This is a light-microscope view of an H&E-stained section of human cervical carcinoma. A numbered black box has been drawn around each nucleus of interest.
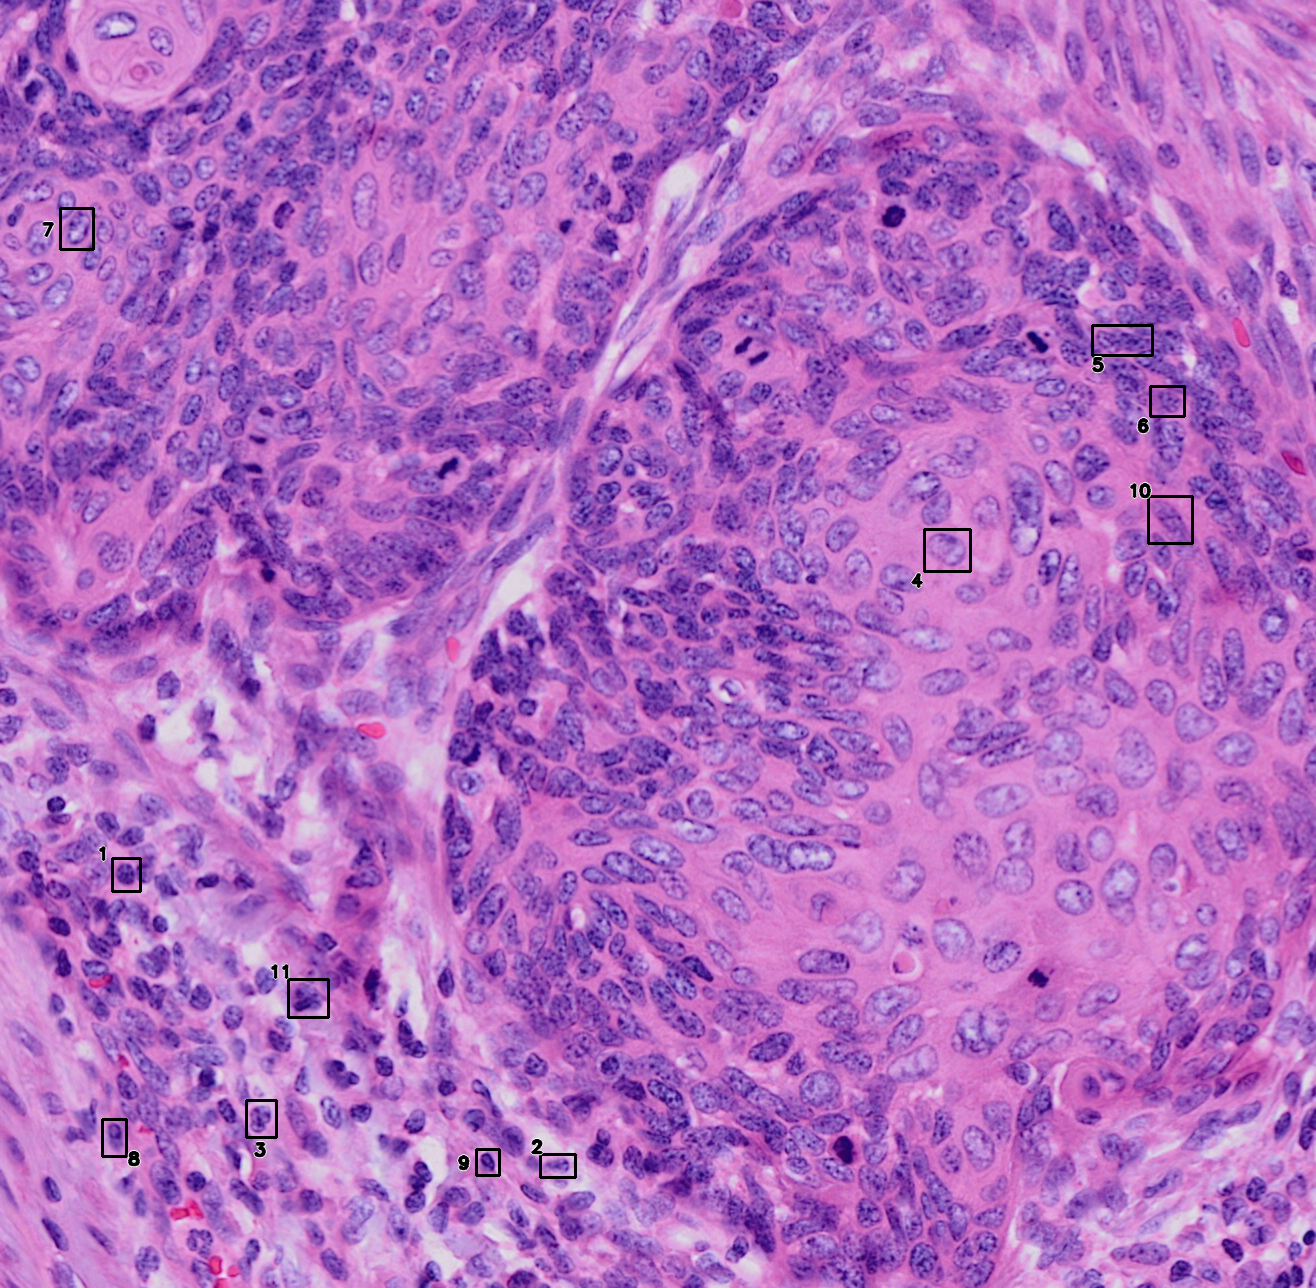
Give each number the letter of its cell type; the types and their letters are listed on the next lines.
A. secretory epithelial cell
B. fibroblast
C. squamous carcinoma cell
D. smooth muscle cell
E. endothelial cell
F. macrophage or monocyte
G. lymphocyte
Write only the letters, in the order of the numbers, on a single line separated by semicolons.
G; G; G; C; C; C; C; G; G; C; G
